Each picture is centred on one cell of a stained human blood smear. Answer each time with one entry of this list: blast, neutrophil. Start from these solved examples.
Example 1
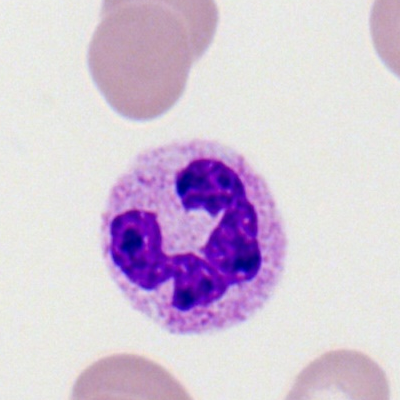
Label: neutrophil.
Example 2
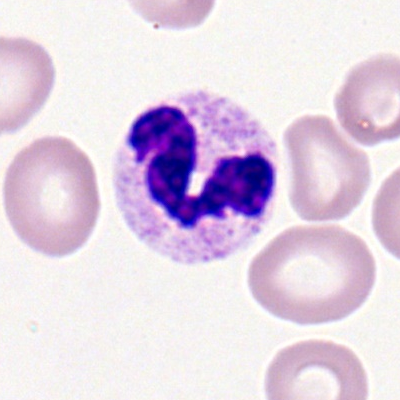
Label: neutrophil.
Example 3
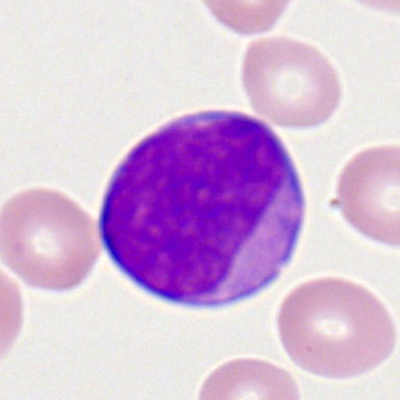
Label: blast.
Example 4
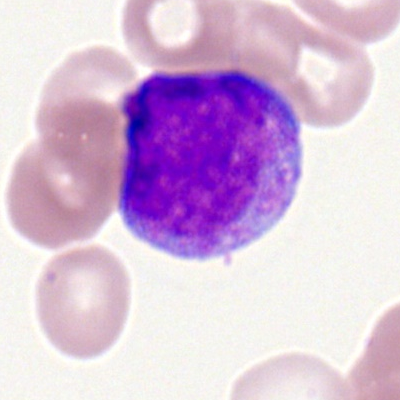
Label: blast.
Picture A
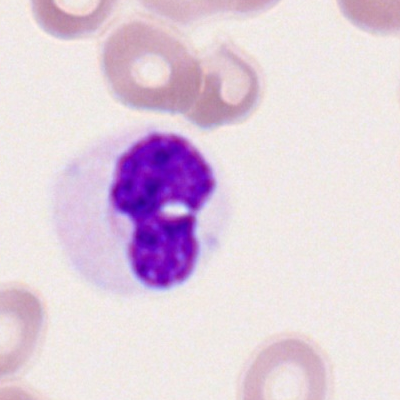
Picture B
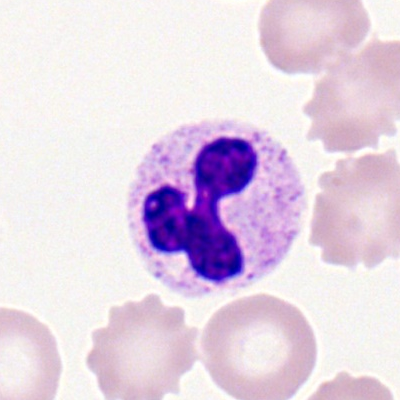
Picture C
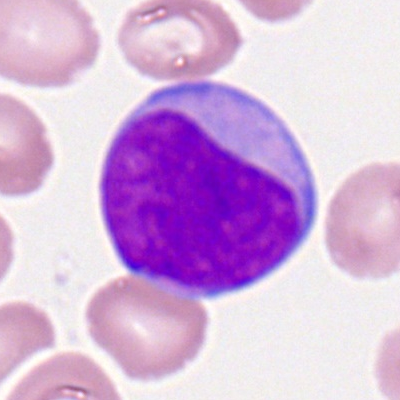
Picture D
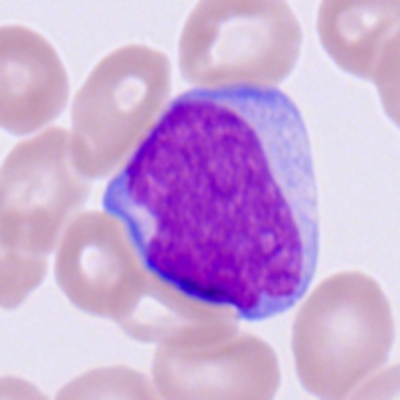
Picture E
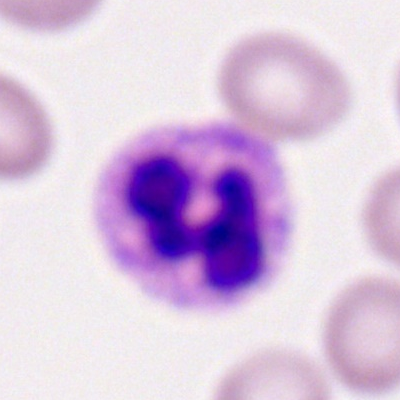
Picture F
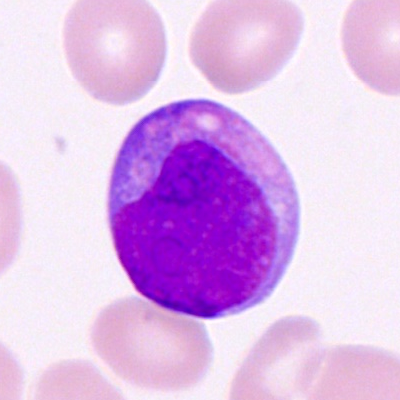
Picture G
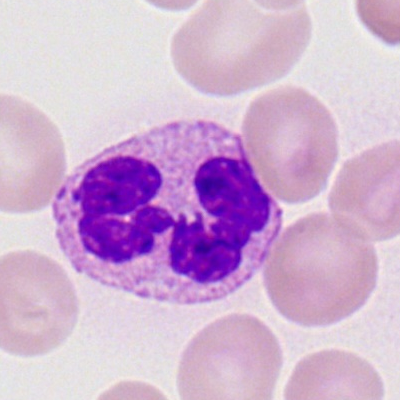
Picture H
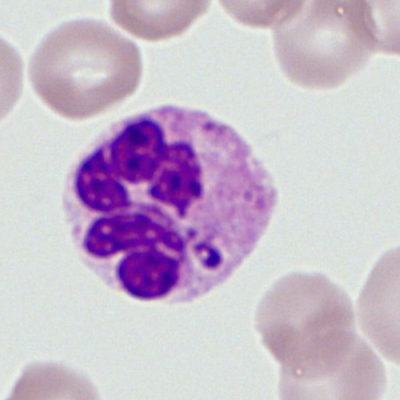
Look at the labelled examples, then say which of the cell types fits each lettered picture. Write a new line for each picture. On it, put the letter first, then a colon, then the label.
A: neutrophil.
B: neutrophil.
C: blast.
D: blast.
E: neutrophil.
F: blast.
G: neutrophil.
H: neutrophil.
